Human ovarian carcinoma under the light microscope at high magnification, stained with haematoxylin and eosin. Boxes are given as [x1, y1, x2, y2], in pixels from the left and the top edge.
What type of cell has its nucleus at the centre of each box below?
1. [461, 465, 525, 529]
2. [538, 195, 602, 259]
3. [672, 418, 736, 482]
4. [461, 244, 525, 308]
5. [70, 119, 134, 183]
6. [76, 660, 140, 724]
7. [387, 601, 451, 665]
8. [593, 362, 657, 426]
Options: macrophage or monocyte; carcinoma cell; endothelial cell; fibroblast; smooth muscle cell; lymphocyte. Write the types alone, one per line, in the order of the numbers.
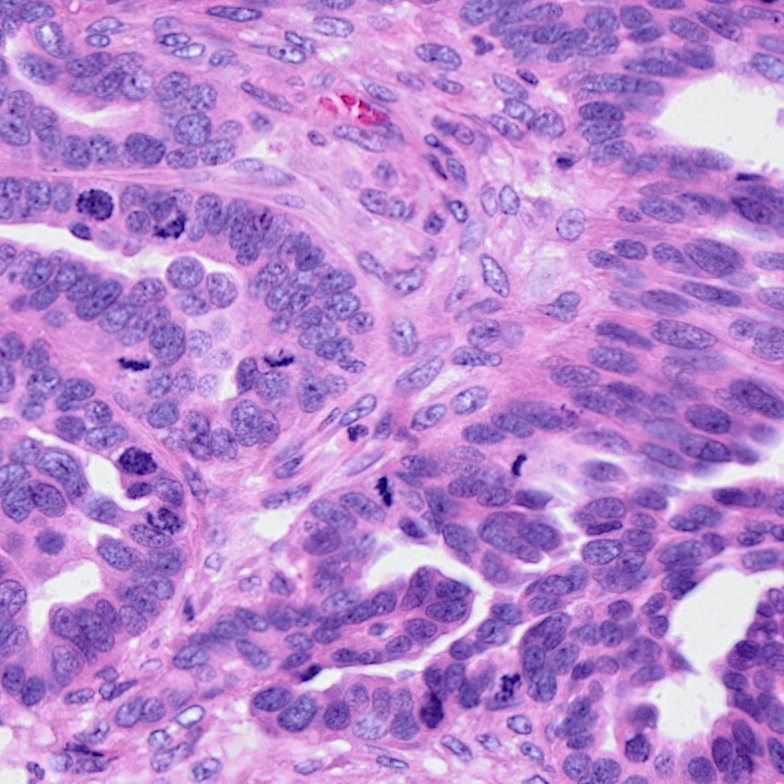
carcinoma cell
fibroblast
carcinoma cell
fibroblast
carcinoma cell
fibroblast
carcinoma cell
carcinoma cell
